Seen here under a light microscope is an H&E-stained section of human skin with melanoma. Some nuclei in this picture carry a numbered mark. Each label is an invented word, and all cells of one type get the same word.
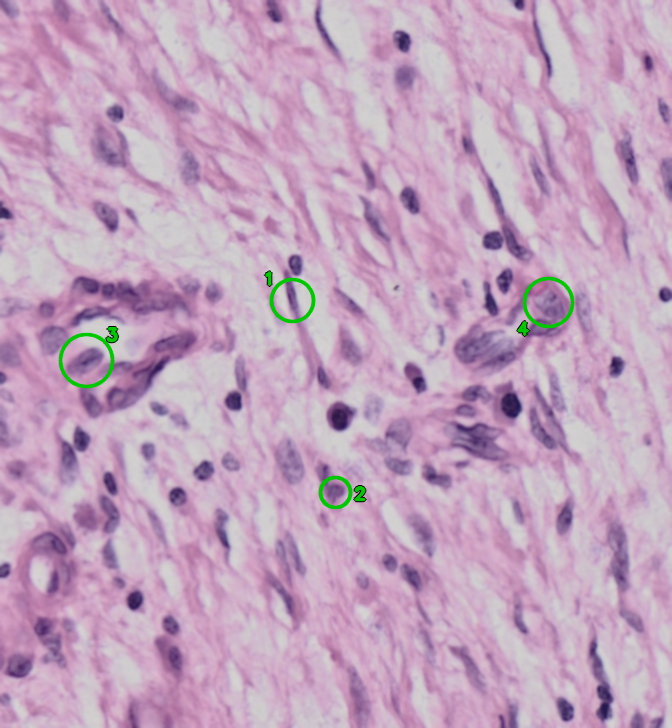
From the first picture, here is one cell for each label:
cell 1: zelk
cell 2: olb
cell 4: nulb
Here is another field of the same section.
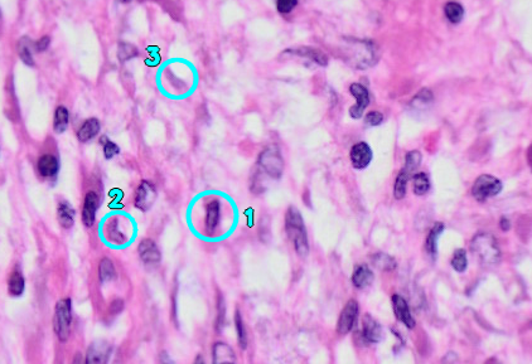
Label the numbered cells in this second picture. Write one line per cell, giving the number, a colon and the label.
1: olb
2: zelk
3: zelk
